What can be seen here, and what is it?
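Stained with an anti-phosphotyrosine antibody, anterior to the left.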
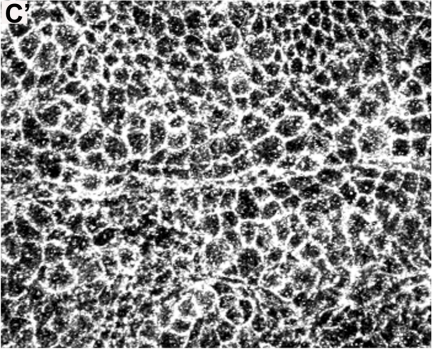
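Closely packed polygonal cells form a continuous sheet, each outlined by a bright, unbroken white border, with darker, finely speckled interiors. A horizontal line runs across the middle of the field. This is ventral epidermis with well-defined cell junctions.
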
